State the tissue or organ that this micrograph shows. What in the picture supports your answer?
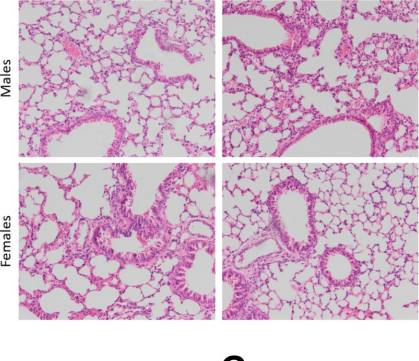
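Lung. Many thin-walled, air-filled spaces form a lace-like network. Larger airways are lined by a folded epithelium of tall cells.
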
